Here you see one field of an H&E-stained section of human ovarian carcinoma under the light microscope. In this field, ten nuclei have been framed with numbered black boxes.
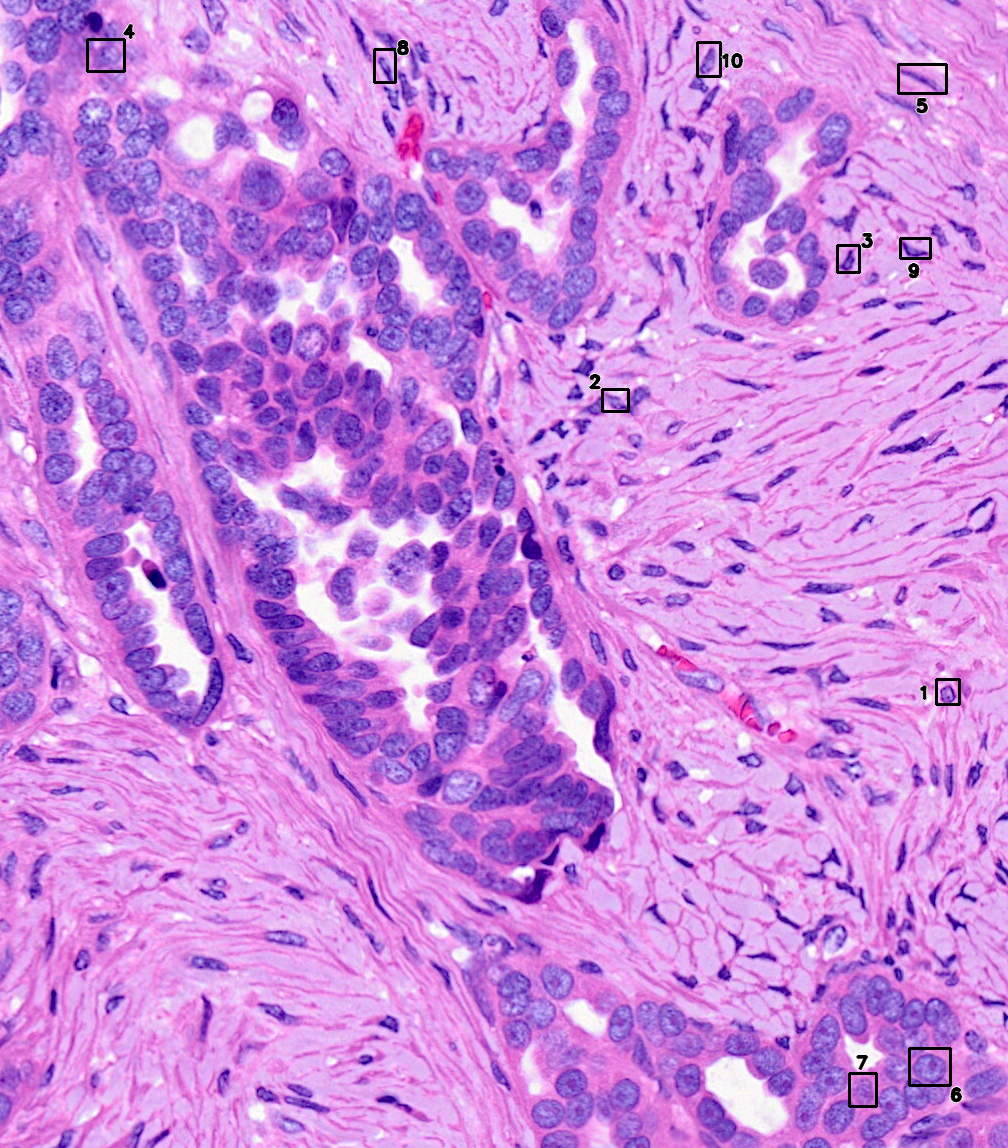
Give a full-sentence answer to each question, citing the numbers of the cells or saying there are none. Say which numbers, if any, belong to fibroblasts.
In terms of cell type, cells 2, 3, 5, 8, 9 and 10 are fibroblasts.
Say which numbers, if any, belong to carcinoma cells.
Cells 4, 6 and 7 share one type; they are carcinoma cells.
